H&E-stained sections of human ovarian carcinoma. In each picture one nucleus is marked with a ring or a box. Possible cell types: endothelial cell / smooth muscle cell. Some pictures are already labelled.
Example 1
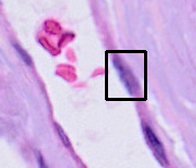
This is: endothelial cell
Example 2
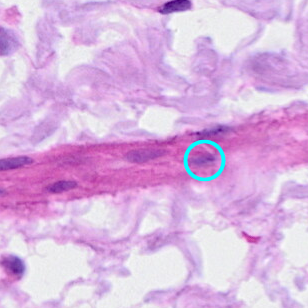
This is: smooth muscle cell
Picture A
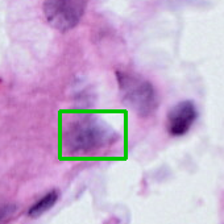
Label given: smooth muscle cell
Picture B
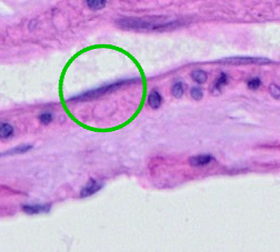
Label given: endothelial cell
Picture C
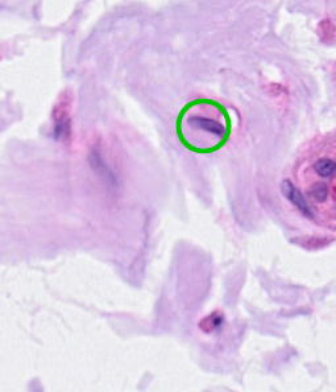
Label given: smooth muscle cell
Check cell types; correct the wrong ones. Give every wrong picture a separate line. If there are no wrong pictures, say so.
A is labelled smooth muscle cell; correct label: endothelial cell
C is labelled smooth muscle cell; correct label: endothelial cell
